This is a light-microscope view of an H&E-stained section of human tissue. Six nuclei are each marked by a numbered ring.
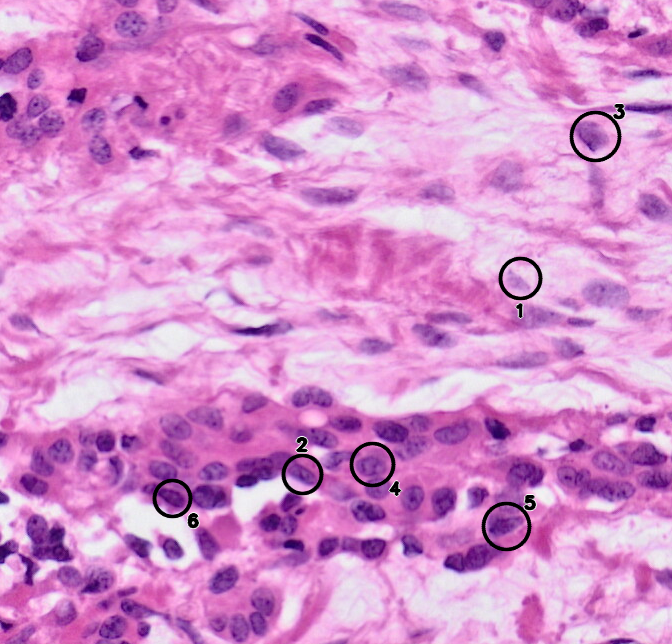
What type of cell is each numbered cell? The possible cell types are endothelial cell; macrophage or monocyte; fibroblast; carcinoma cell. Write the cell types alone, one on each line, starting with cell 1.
fibroblast
carcinoma cell
fibroblast
carcinoma cell
carcinoma cell
carcinoma cell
